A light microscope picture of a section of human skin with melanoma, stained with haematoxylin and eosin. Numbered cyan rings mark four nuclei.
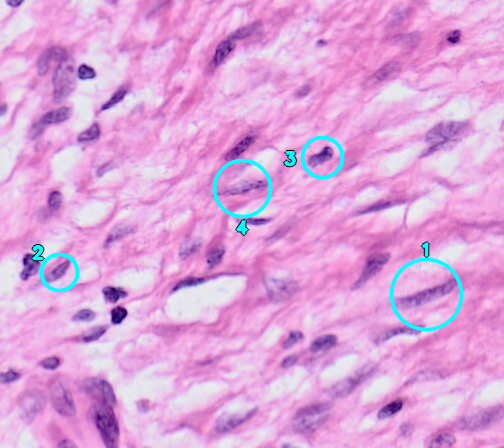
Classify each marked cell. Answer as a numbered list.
1. fibroblast or myofibroblast
2. macrophage or monocyte
3. lymphocyte
4. fibroblast or myofibroblast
